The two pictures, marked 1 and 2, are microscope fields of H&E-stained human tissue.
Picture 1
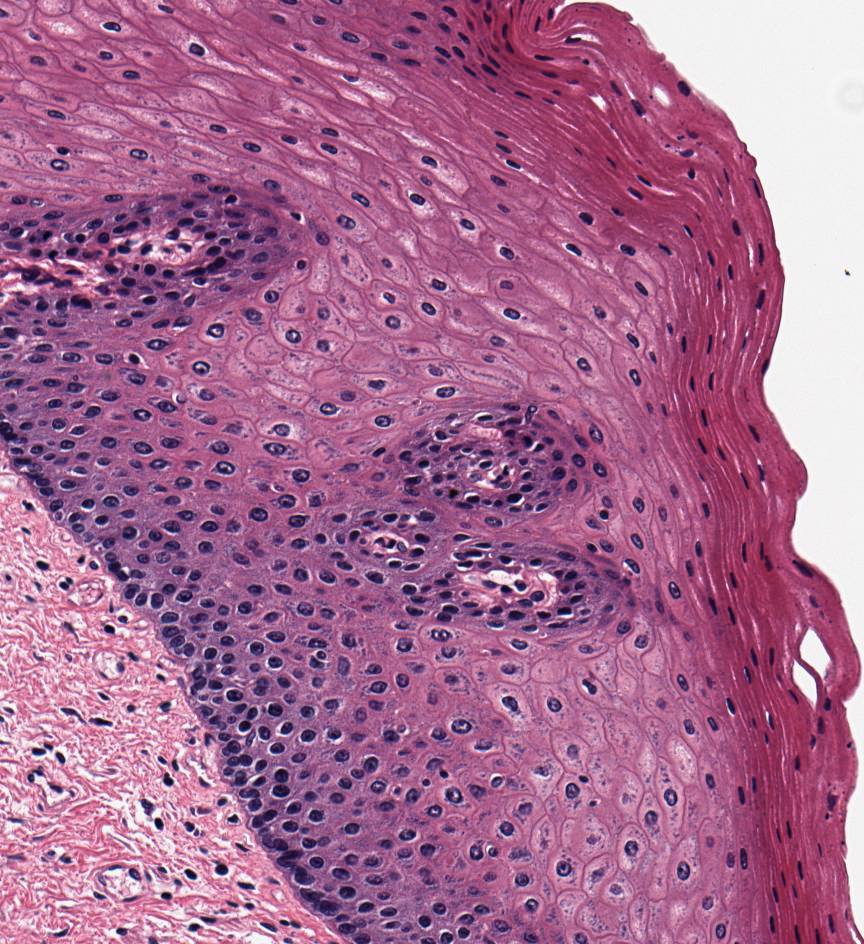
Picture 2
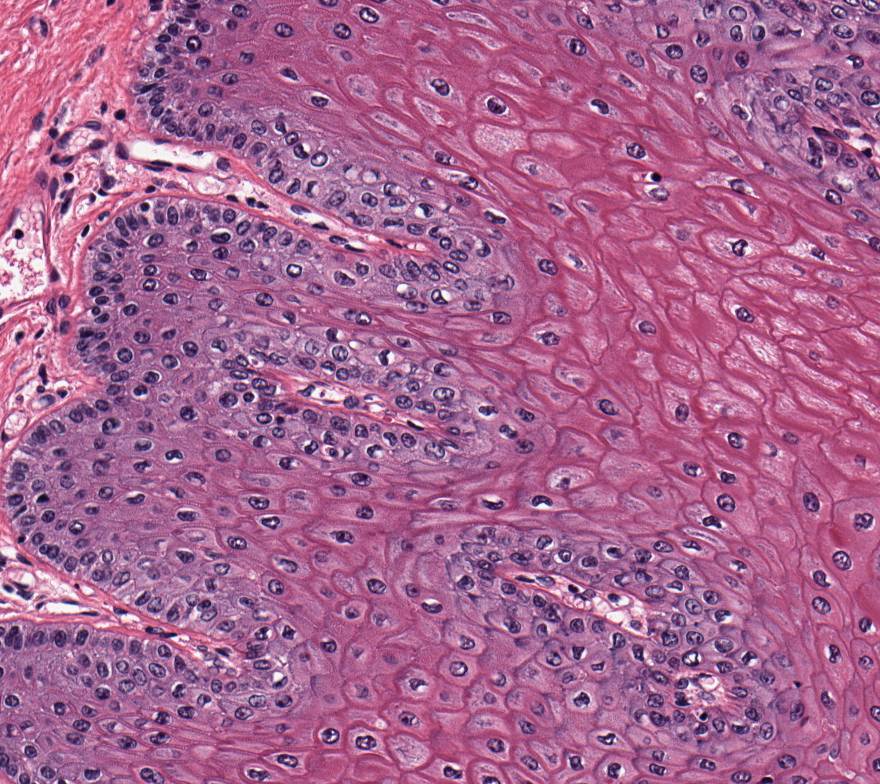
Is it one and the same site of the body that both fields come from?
yes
